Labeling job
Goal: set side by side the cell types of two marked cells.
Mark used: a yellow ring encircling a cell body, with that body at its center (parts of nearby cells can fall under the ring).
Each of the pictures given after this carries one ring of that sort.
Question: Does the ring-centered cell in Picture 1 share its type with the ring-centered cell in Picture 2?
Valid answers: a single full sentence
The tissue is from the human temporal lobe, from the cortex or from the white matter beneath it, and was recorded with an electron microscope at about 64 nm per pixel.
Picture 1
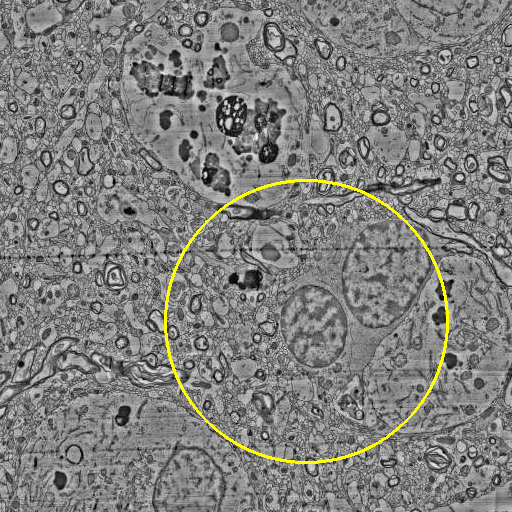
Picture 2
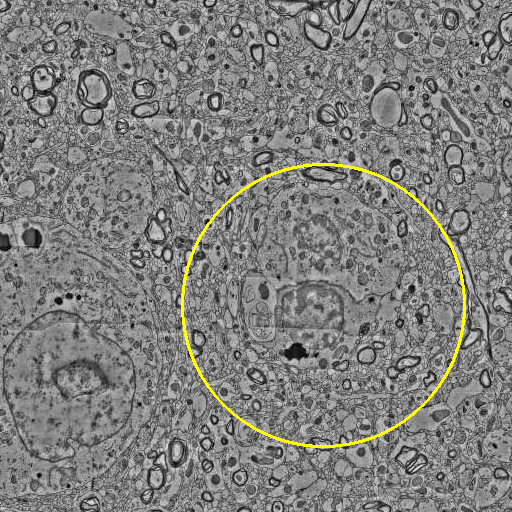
Yes, in Pictures 1 and 2 the cells at the ring centers share one type.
